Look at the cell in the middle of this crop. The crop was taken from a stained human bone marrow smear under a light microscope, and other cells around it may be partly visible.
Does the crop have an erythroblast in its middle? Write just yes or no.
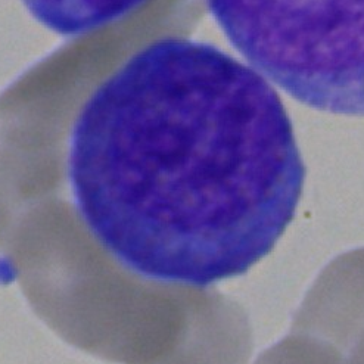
no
